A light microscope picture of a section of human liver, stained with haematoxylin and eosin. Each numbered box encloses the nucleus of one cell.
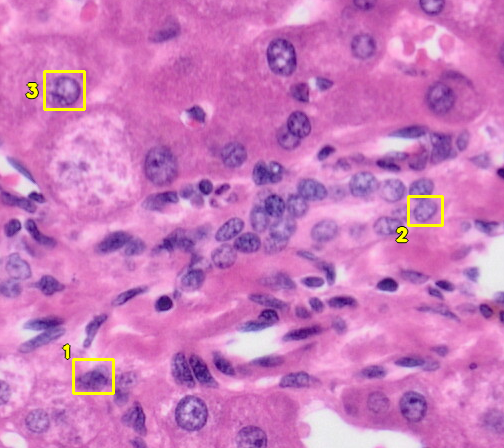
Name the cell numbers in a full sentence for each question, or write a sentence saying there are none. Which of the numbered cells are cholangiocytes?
It is cell 2, and no other numbered cell, that is a cholangiocyte.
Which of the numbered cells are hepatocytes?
In short, cell 3 is a hepatocyte; the others are not.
